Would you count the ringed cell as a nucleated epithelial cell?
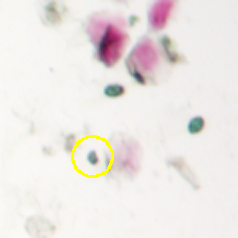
No, I would count it as a leukocyte.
